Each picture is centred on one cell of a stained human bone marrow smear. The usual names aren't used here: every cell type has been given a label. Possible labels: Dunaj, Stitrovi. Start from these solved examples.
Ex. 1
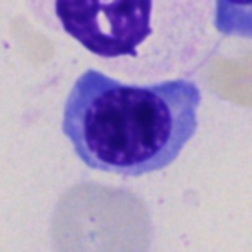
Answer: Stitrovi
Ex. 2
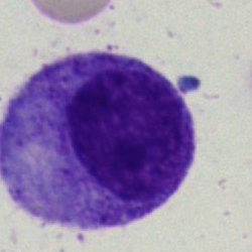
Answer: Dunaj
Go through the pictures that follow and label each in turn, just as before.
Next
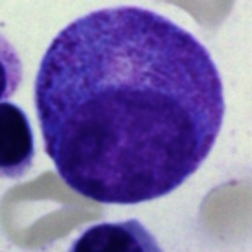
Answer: Dunaj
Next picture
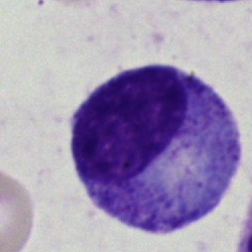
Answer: Dunaj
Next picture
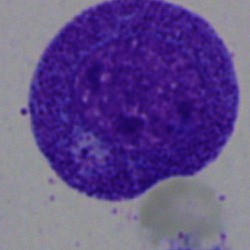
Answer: Dunaj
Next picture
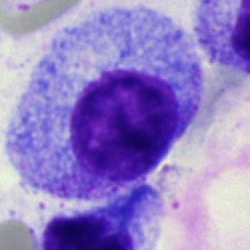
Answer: Dunaj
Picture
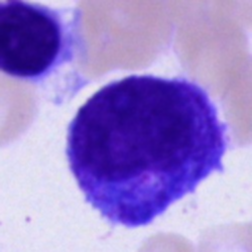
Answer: Dunaj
